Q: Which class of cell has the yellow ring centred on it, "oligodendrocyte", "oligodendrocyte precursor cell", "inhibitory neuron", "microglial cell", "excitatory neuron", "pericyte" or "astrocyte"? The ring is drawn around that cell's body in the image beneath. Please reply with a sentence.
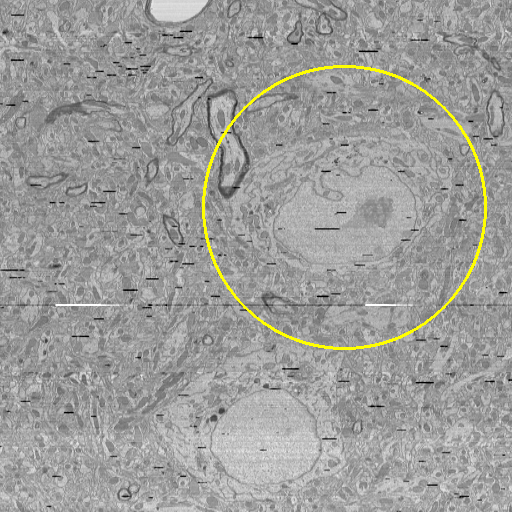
It is centred on an inhibitory neuron.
